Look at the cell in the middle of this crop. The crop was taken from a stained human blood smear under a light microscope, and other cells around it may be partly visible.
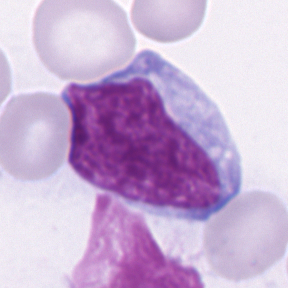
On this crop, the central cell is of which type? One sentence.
The cell at the middle of the frame should be recorded as a monocyte.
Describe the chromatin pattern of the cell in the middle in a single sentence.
You can see that its chromatin is coarsely clumped.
